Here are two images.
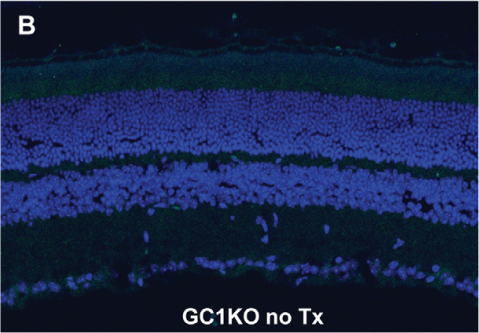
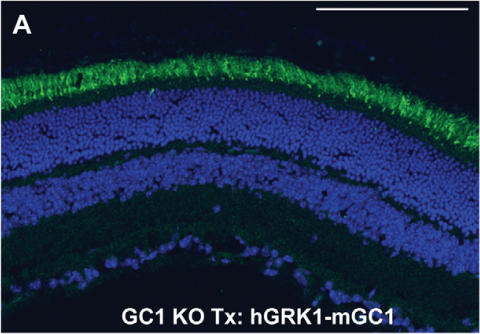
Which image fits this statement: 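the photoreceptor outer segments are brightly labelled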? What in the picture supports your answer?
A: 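Second image: a bright green striated band lies outside the outer layer of blue nuclei. First image: the band outside the outer layer of nuclei is only dim and grey-green.
Conclusion: the second image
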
